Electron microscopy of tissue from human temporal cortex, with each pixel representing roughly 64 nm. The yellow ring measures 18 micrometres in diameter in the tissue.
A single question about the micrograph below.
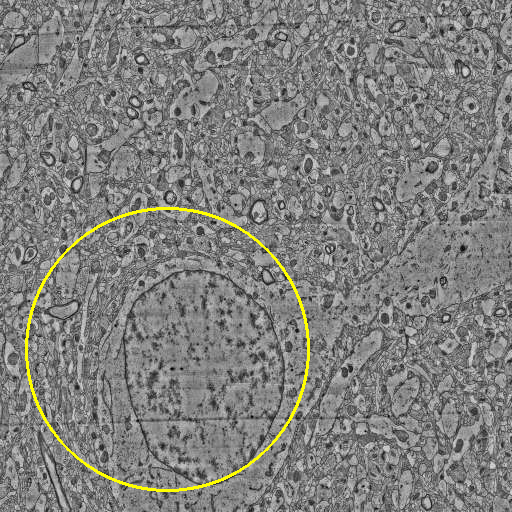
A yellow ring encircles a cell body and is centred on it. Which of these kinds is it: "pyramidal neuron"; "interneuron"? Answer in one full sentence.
The cell body at the centre of the yellow ring belongs to a pyramidal neuron.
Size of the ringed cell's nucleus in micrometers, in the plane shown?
In this plane, the nucleus of the cell at the centre of the ring measures about 14 by 10 micrometres.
